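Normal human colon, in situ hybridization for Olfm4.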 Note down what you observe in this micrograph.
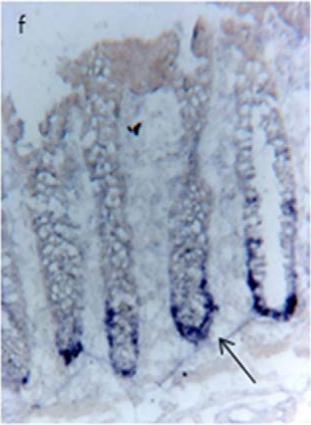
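A dark blue-purple deposit is concentrated at the bottom of each crypt and fades along the lower sides. The upper crypts and surface epithelium are unstained apart from a light brown tinge at the surface. Thin strands of connective tissue lie between and beneath the crypt bottoms.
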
